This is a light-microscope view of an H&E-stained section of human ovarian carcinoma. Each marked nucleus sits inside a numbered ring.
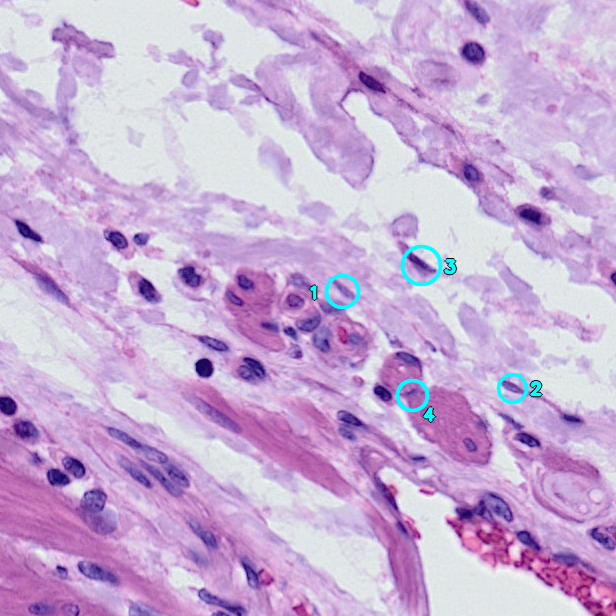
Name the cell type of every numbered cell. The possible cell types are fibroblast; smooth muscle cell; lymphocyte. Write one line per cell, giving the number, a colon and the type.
1: fibroblast
2: fibroblast
3: fibroblast
4: smooth muscle cell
